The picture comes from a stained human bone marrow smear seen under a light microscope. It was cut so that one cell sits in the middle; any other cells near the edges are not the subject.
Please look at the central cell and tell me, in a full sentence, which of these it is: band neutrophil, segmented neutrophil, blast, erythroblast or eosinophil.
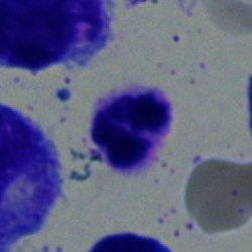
Looking at the middle of the crop, the cell there is a segmented neutrophil.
